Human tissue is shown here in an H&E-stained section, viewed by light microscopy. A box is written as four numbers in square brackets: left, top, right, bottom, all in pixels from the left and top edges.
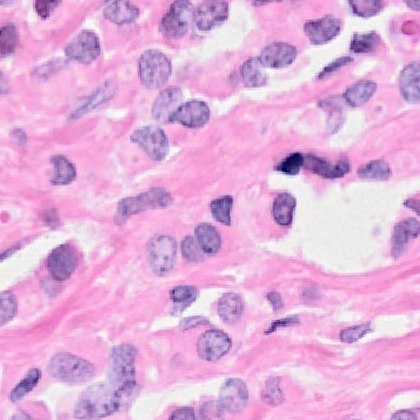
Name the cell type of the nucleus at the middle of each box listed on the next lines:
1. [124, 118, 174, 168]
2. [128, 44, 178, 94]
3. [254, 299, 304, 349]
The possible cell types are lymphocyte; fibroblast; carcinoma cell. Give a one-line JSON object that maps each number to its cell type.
{"1": "carcinoma cell", "2": "carcinoma cell", "3": "fibroblast"}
